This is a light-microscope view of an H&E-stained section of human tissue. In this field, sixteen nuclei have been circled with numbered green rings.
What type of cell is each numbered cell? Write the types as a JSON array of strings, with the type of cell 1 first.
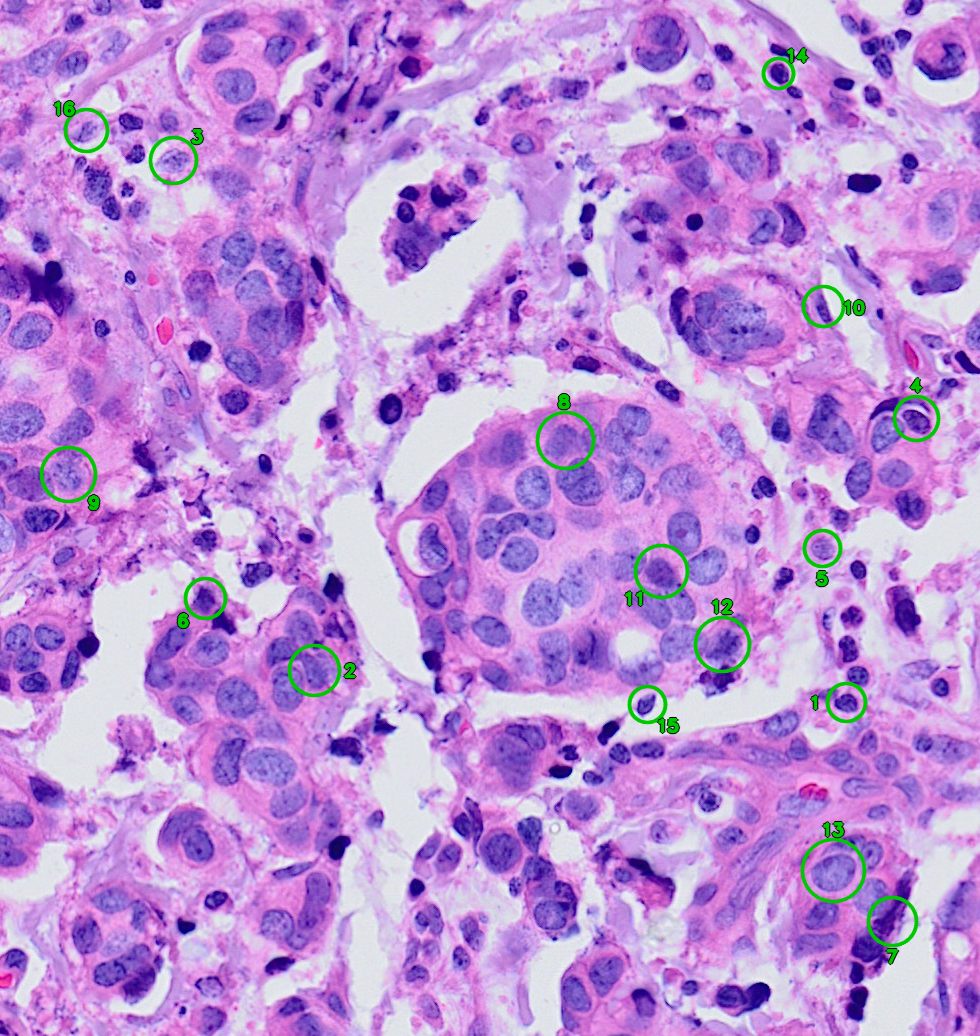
["lymphocyte", "carcinoma cell", "macrophage, monocyte or dendritic cell", "carcinoma cell", "macrophage, monocyte or dendritic cell", "carcinoma cell", "carcinoma cell", "carcinoma cell", "carcinoma cell", "fibroblast", "carcinoma cell", "carcinoma cell", "carcinoma cell", "lymphocyte", "lymphocyte", "macrophage, monocyte or dendritic cell"]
